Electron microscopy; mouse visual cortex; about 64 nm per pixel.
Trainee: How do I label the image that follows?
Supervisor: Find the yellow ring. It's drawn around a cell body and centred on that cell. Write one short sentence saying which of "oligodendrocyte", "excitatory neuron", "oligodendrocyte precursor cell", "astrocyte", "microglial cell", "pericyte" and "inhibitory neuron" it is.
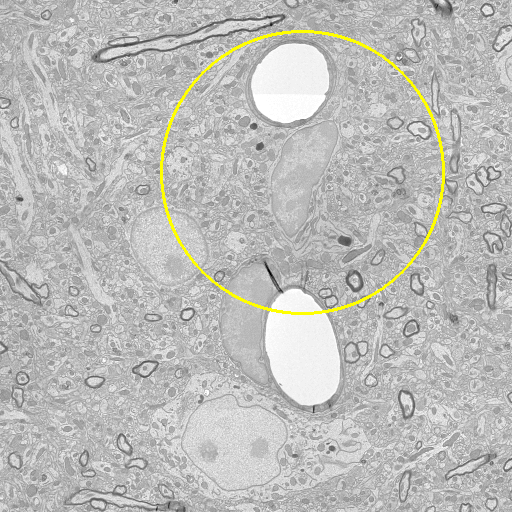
This is the cell body of a microglial cell.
